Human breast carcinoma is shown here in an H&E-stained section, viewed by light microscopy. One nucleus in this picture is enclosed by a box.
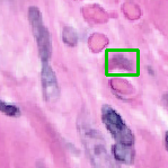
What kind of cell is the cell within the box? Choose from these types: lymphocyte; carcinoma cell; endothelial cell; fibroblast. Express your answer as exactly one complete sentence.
So far as cell type goes, the cell within the box is an endothelial cell.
